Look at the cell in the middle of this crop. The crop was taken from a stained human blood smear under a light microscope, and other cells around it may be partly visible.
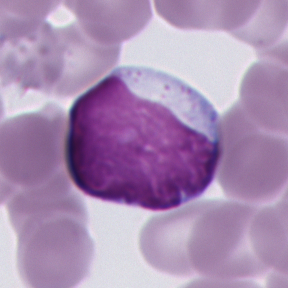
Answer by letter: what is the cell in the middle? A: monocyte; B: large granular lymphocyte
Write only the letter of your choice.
B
